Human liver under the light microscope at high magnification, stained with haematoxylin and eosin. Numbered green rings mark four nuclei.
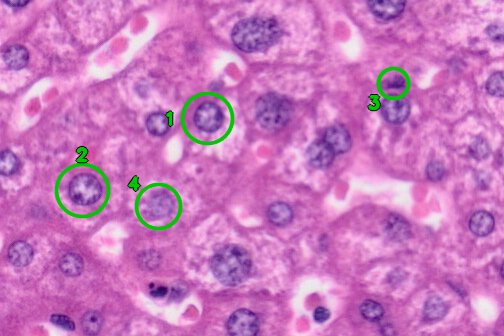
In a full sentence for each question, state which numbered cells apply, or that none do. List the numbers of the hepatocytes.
By cell type, the cells numbered 1, 2 and 4 are hepatocytes.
